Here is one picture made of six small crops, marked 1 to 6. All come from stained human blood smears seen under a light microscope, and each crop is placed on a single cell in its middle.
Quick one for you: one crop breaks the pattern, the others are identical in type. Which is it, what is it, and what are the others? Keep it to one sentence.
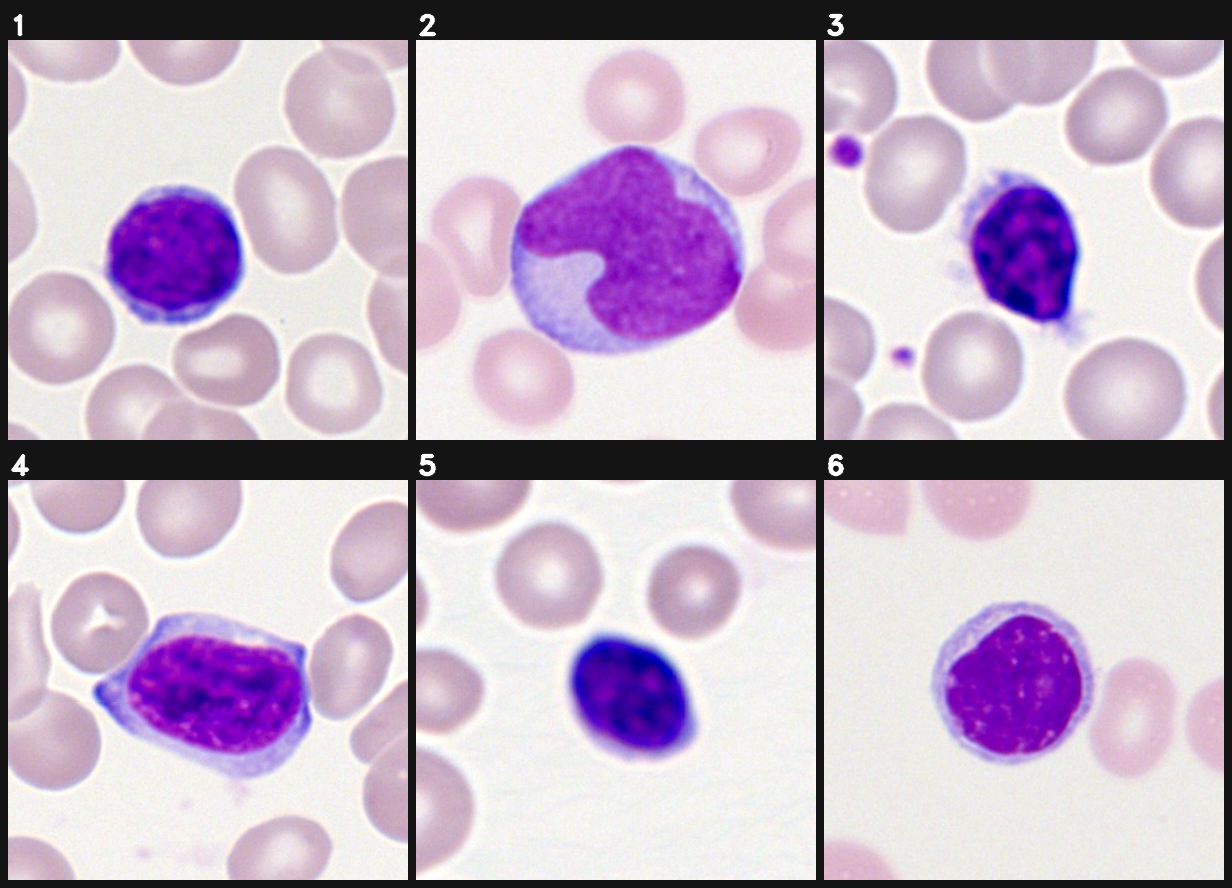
Crop 2 stands apart from the rest as a myeloblast, the others all being lymphocytes.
